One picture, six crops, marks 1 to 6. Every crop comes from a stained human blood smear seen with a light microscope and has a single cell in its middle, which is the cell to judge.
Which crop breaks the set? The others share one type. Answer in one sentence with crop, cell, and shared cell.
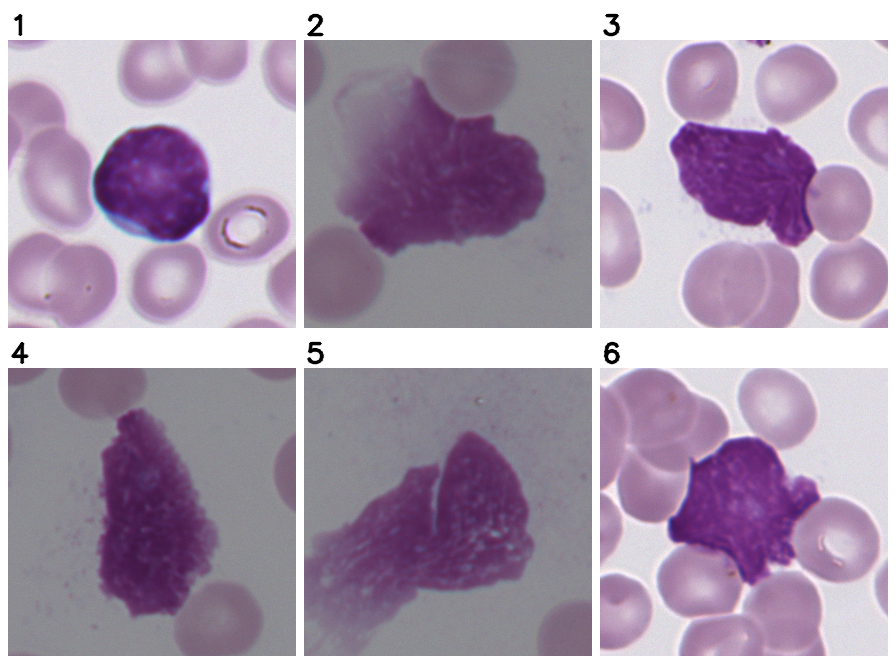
Crop 1 is the outlier, with a typical lymphocyte against smudge cells in the rest.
